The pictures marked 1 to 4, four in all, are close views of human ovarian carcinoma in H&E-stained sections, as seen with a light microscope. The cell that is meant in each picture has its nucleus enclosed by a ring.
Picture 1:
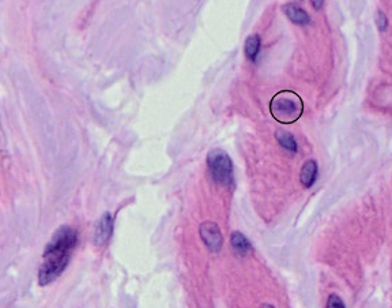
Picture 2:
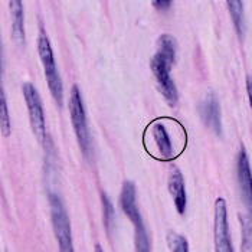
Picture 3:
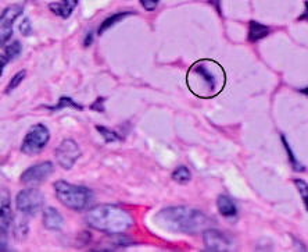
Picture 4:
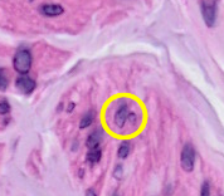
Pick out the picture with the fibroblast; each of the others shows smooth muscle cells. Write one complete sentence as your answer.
The cell in picture 3 is the fibroblast.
